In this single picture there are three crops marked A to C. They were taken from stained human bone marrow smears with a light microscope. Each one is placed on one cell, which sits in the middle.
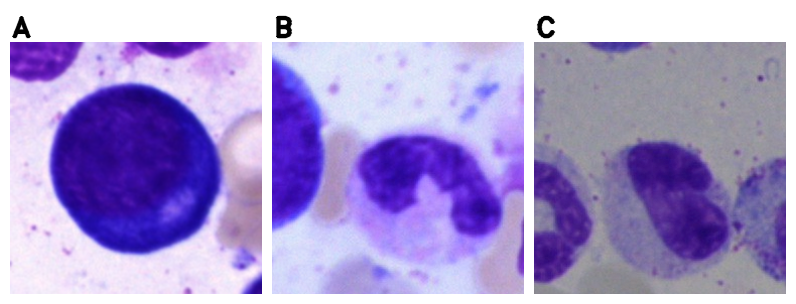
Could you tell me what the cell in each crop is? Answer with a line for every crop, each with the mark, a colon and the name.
A: proerythroblast
B: band neutrophil
C: band neutrophil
